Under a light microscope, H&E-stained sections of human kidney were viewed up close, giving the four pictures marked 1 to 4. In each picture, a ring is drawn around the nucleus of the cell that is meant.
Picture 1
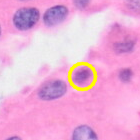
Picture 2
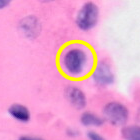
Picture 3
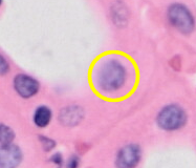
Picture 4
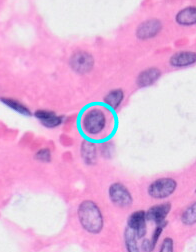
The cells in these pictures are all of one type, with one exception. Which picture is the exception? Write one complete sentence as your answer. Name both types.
Picture 4 is the odd one out: it shows a collecting duct cell, while the others show “loop of Henle or distal tubule cells”.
